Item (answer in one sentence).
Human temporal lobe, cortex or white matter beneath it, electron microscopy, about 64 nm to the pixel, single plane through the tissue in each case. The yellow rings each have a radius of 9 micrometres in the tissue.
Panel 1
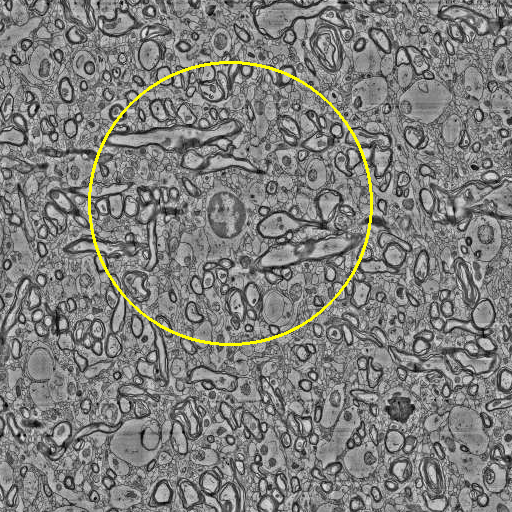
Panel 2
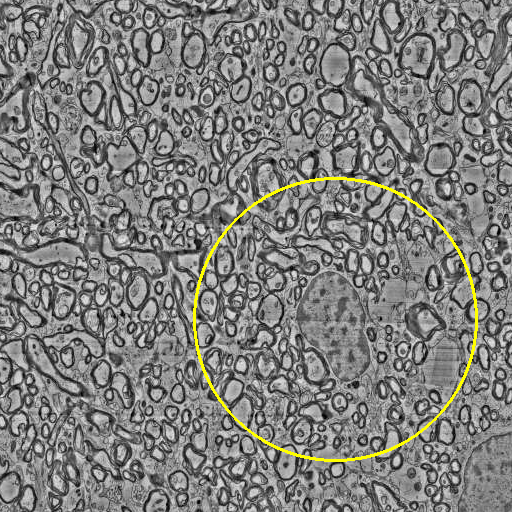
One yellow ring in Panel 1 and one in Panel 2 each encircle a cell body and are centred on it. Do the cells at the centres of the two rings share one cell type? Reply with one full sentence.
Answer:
Yes, Panel 1 and Panel 2 show cells of one type at the centres of their rings.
